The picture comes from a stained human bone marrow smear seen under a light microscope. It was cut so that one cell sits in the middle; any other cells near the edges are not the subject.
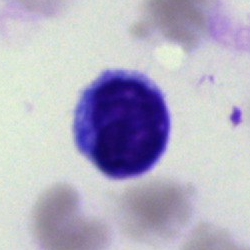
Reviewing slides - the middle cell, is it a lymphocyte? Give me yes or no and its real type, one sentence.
Yes, the cell found in the middle is a lymphocyte.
